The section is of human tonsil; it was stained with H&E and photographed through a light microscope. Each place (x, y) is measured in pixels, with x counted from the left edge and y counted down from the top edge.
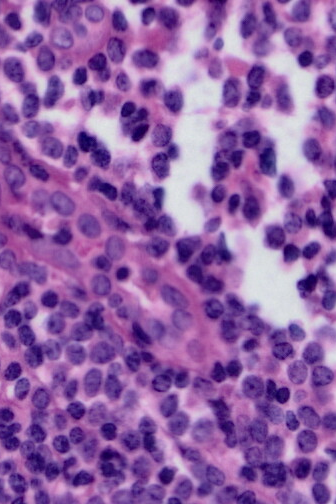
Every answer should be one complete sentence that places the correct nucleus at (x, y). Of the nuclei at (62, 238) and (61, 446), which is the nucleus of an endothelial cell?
Out of the two, it is the nucleus at (62, 238) that belongs to an endothelial cell.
